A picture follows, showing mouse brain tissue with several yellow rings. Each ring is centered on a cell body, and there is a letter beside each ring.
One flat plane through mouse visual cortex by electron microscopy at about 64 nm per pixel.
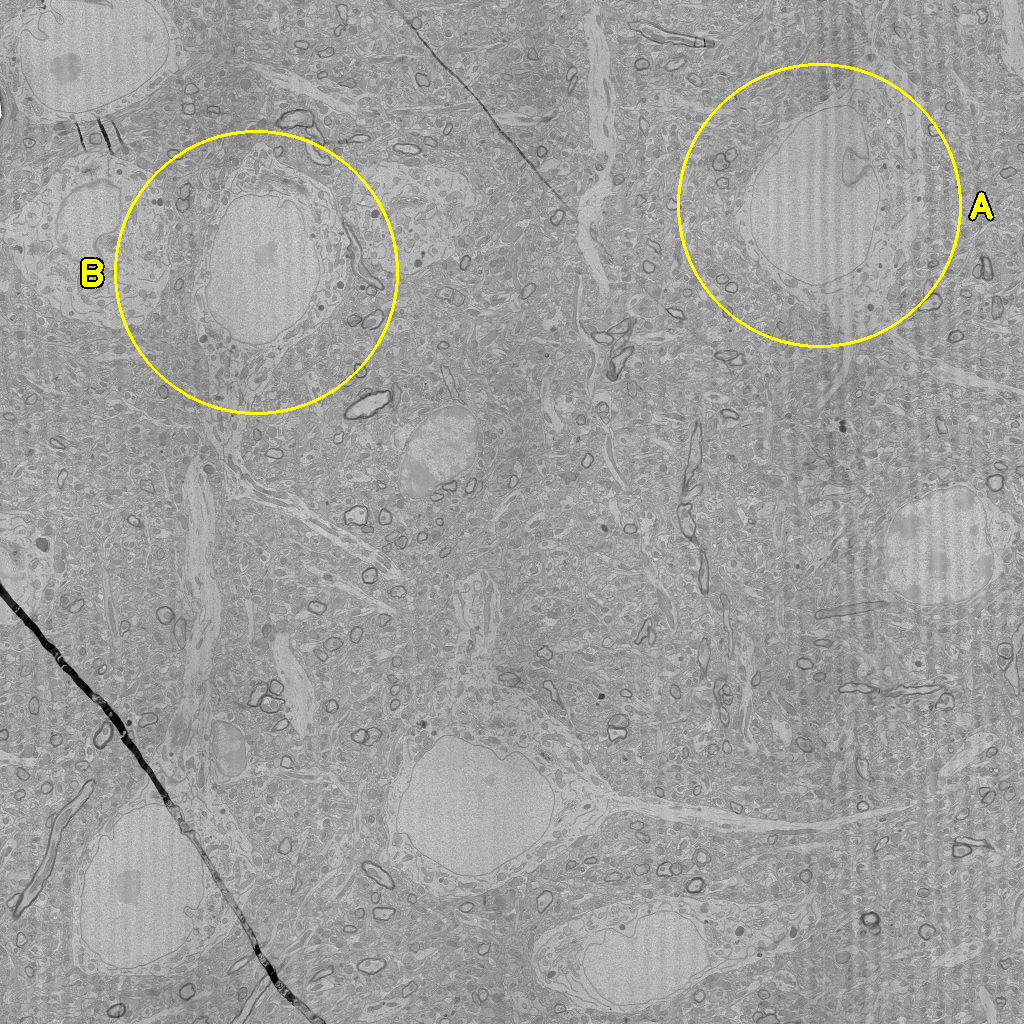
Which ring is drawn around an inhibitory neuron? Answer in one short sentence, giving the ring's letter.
Ring B is drawn around it.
